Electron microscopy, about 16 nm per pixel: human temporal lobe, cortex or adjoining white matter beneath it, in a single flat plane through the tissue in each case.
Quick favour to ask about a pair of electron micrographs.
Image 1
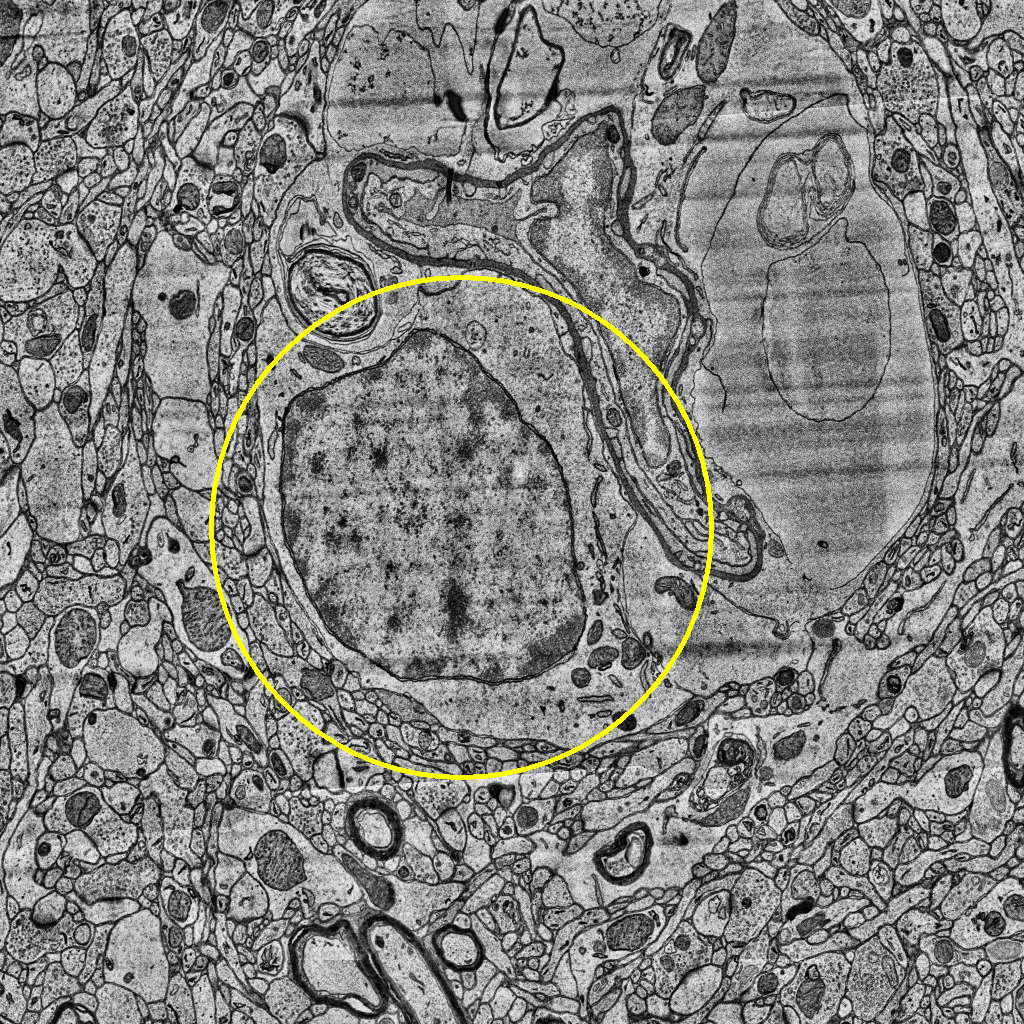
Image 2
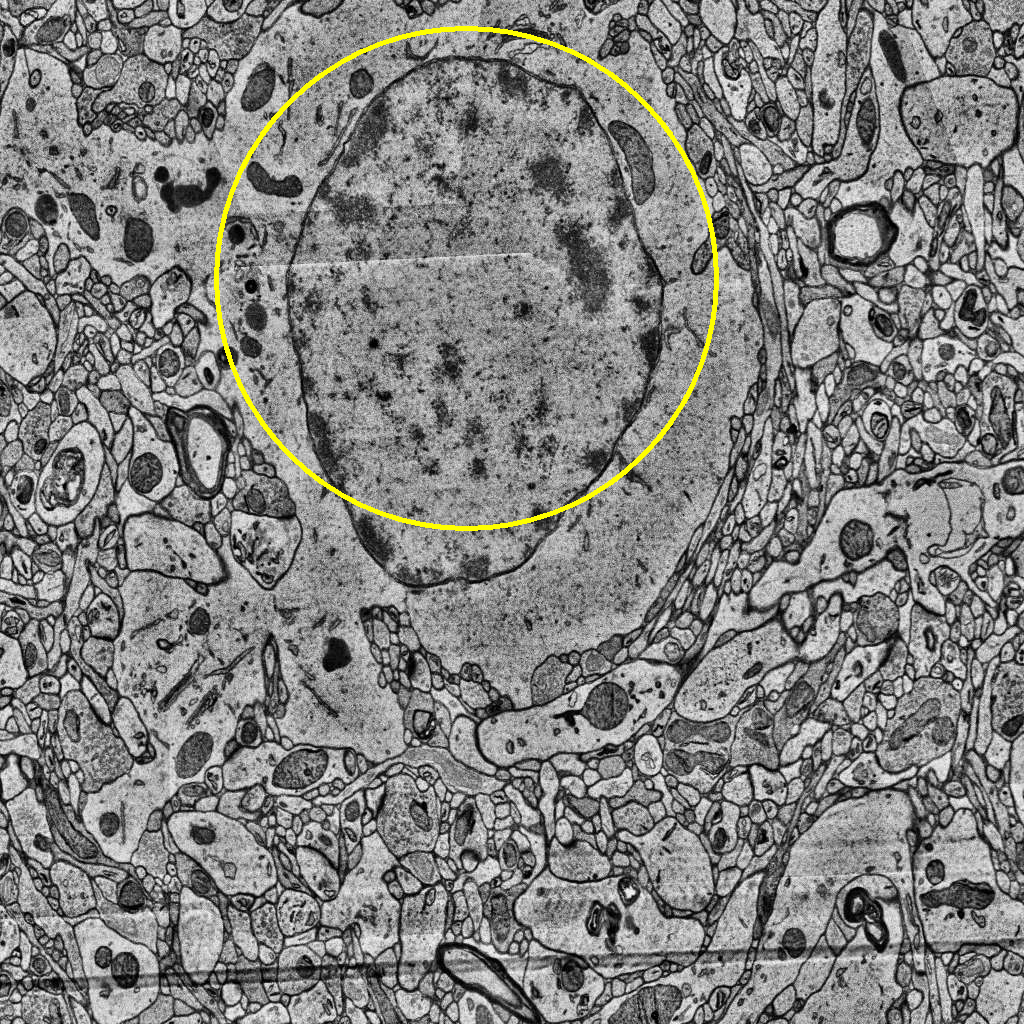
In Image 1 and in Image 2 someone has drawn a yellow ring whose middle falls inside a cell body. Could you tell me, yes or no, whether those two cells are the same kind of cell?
no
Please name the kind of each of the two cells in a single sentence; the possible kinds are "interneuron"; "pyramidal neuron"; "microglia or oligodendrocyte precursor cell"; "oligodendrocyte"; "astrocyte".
The first cell is a microglial cell or oligodendrocyte precursor cell; the second is an astrocyte.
